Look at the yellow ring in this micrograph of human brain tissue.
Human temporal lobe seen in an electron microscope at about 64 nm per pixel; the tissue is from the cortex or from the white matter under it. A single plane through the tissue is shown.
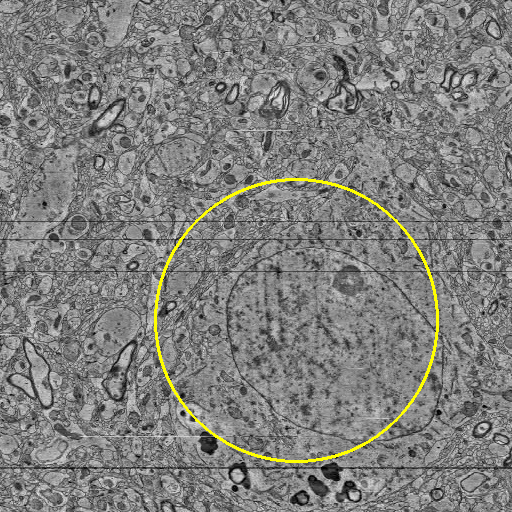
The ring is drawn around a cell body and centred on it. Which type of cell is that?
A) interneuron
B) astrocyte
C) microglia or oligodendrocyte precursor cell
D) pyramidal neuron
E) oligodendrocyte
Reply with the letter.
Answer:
D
